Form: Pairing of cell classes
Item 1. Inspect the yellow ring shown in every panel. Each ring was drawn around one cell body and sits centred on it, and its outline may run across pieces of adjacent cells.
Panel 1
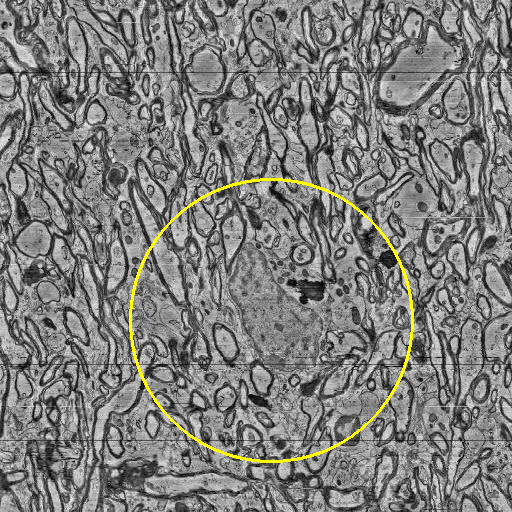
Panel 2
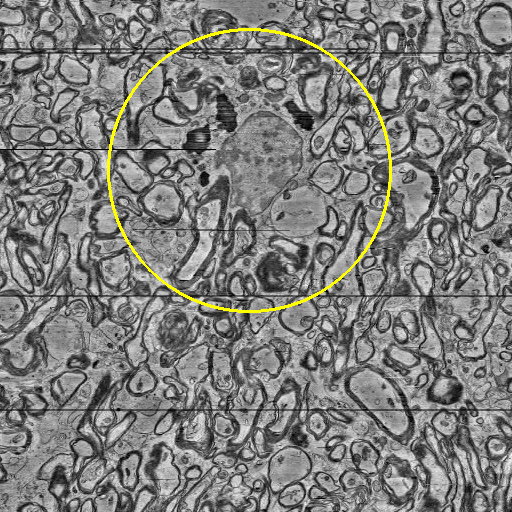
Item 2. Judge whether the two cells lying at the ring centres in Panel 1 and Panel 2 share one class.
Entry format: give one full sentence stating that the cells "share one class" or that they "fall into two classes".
The cells at the ring centres in Panel 1 and Panel 2 share one class.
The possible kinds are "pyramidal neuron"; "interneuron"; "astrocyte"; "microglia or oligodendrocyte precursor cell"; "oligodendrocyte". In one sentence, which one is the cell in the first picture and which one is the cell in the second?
Each of the two rings surrounds an oligodendrocyte.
